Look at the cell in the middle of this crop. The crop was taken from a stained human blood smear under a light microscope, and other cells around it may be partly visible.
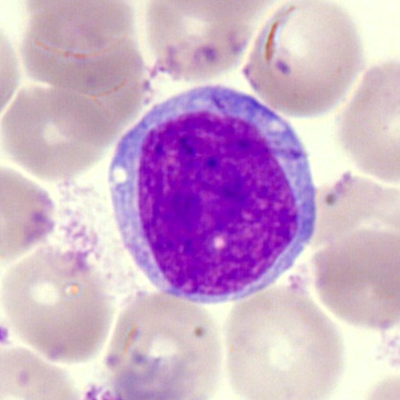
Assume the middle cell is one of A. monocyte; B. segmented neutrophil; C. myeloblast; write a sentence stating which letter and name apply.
Since the cell in the centre is a myeloblast, the correct option is C.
